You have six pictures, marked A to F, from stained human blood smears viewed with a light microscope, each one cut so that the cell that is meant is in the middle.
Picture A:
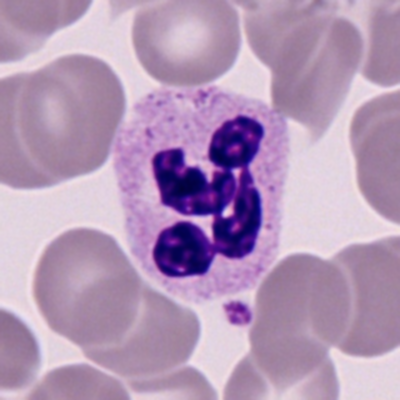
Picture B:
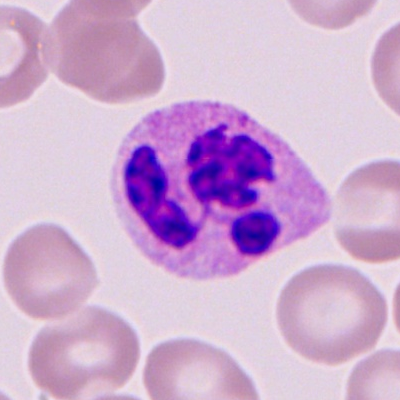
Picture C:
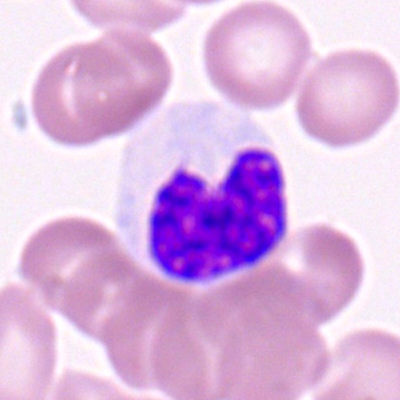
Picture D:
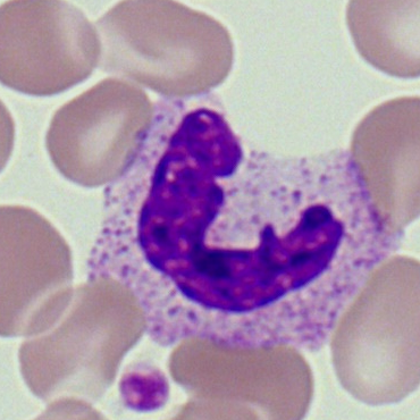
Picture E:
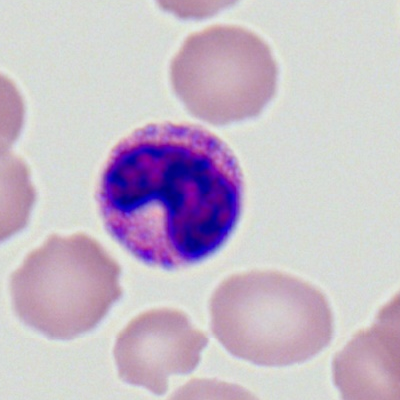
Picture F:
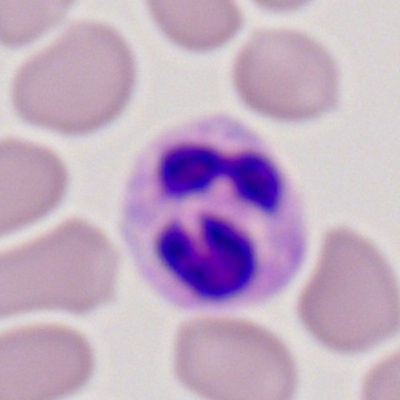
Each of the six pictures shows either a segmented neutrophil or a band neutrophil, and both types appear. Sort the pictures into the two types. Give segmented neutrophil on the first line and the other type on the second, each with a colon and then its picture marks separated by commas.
segmented neutrophil: A, B, F
band neutrophil: C, D, E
